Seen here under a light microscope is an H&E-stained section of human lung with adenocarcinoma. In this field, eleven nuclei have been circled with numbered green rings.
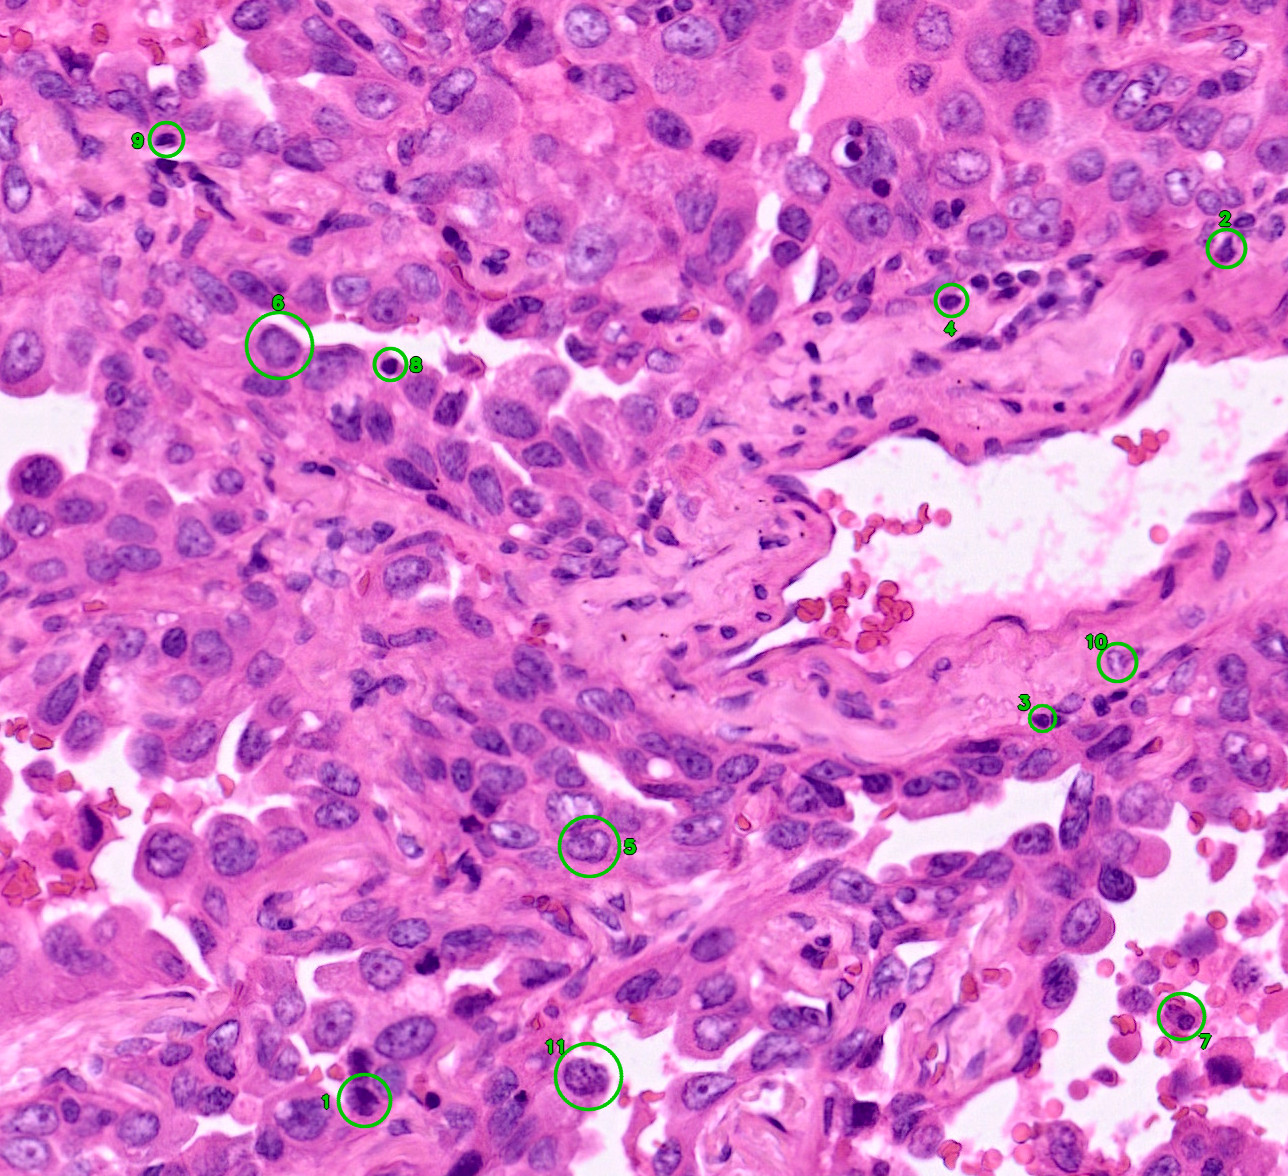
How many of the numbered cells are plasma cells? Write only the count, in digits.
1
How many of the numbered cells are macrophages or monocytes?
1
